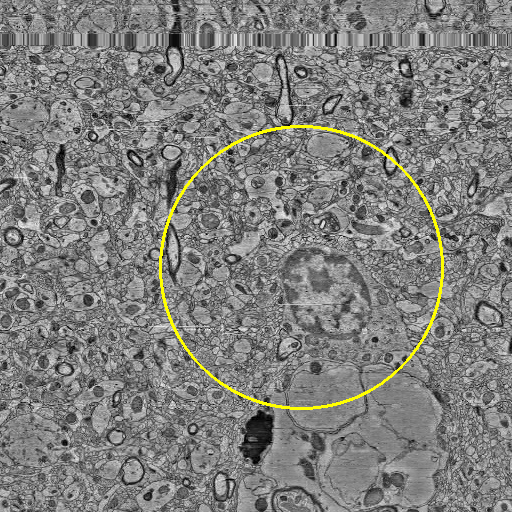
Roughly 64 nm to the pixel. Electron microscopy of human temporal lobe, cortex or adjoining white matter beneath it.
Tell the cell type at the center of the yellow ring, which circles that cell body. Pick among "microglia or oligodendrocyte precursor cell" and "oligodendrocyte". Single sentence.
The ring is centered on the body of an oligodendrocyte.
